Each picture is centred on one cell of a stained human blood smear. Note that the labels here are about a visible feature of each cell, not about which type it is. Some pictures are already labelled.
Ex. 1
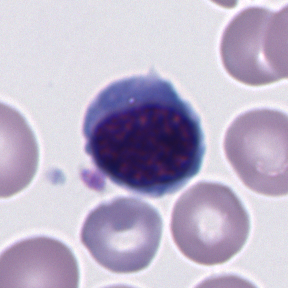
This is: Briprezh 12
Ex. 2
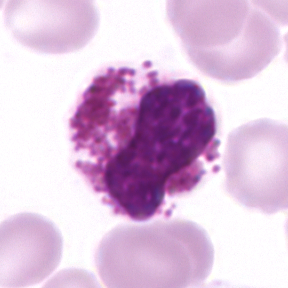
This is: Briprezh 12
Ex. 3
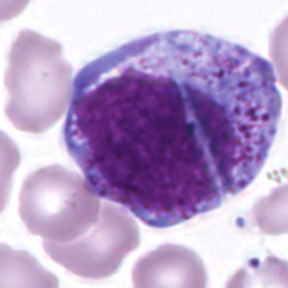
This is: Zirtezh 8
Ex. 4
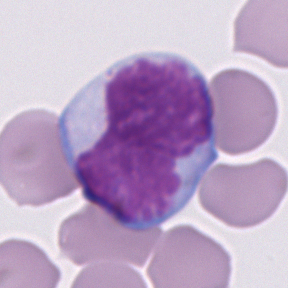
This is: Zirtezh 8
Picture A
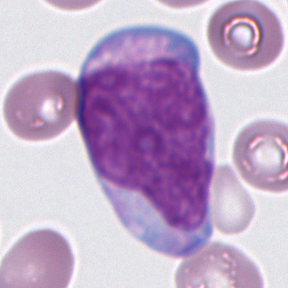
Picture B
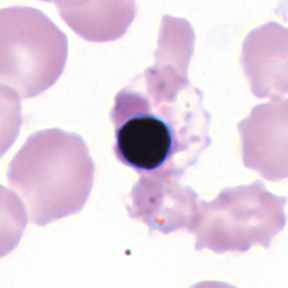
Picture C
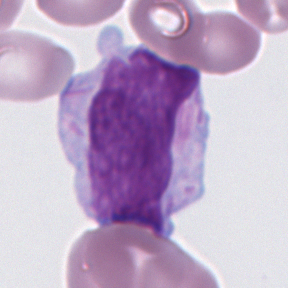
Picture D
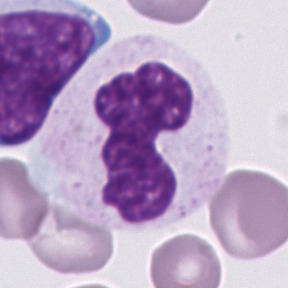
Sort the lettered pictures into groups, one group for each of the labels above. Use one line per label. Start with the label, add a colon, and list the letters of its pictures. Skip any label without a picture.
Briprezh 12: B, C
Zirtezh 8: A, D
